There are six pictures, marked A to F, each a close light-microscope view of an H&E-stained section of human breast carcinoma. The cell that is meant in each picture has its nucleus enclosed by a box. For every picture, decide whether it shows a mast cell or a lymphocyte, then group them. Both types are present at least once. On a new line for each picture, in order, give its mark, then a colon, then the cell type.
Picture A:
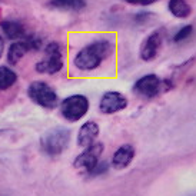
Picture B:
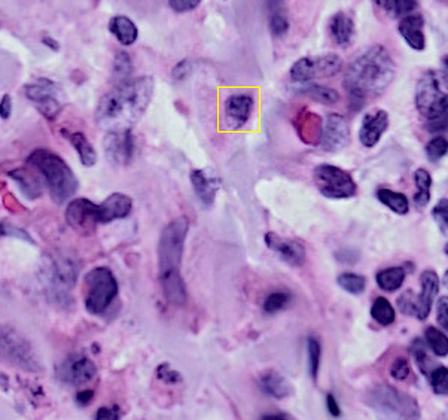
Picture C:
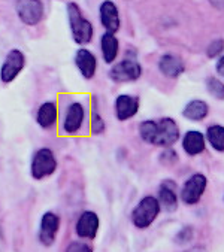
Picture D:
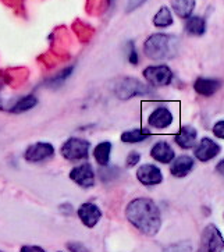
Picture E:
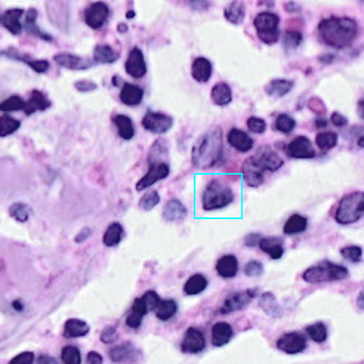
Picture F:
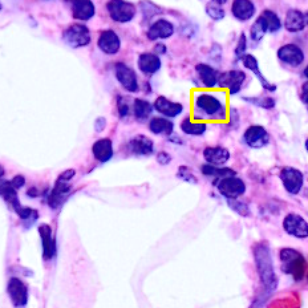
A: mast cell
B: mast cell
C: lymphocyte
D: lymphocyte
E: lymphocyte
F: lymphocyte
